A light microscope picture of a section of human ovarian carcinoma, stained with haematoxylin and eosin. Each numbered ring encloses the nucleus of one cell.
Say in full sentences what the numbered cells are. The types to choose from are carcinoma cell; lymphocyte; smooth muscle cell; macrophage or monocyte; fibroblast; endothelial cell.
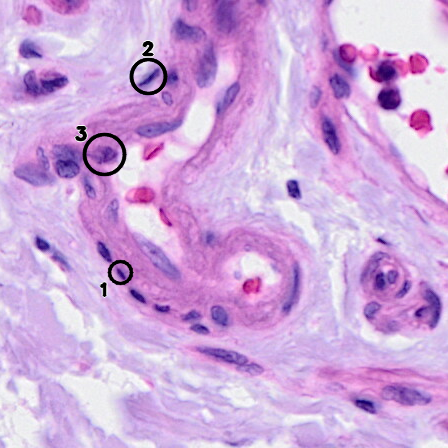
Cell 1 is a smooth muscle cell. Cell 2 is a fibroblast. Cell 3 is an endothelial cell.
